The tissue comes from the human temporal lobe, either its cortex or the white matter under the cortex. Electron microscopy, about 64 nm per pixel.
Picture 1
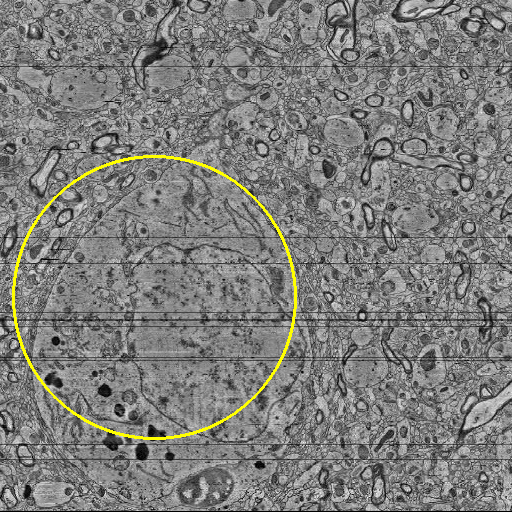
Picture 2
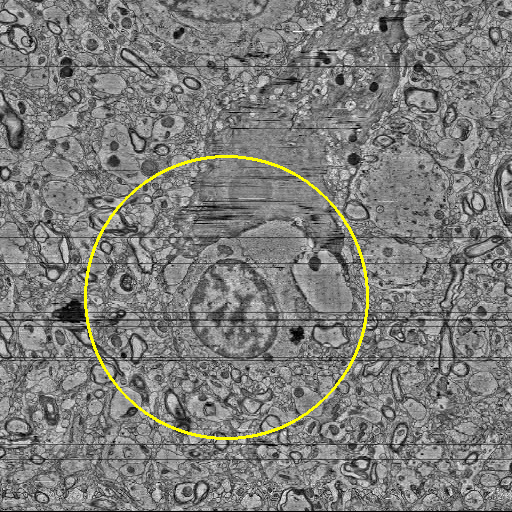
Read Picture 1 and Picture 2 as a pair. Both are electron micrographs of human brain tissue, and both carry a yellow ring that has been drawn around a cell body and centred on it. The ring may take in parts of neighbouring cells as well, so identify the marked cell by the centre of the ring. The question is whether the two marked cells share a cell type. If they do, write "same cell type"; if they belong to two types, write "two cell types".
two cell types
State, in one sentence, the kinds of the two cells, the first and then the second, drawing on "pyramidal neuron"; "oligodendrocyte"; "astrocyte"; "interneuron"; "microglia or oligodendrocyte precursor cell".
The ring in the second picture is centred on an oligodendrocyte, the ring in the first on a pyramidal neuron.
